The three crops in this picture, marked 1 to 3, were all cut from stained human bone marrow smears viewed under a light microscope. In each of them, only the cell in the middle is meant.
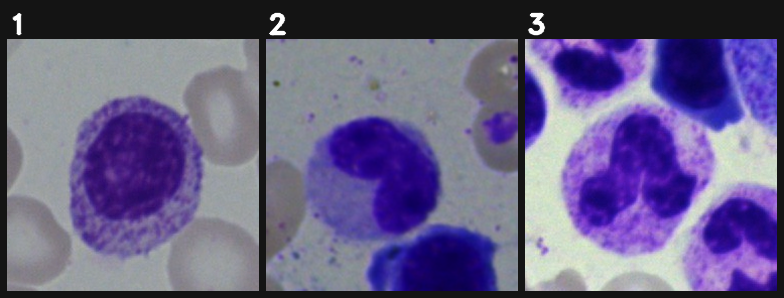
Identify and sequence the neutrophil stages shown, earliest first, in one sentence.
The order of increasing maturity among the crops is crop 1 (a myelocyte), crop 2 (a band neutrophil) and crop 3 (a segmented neutrophil).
